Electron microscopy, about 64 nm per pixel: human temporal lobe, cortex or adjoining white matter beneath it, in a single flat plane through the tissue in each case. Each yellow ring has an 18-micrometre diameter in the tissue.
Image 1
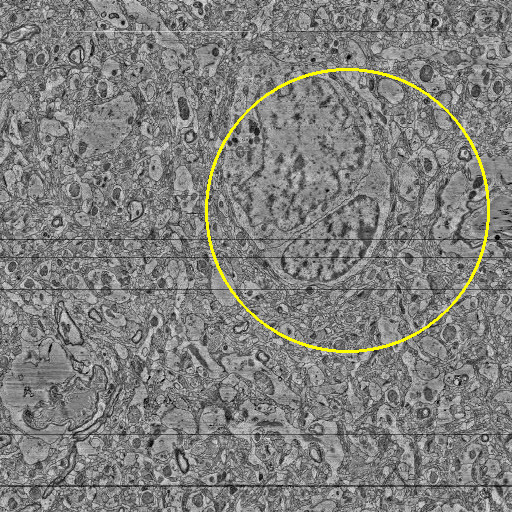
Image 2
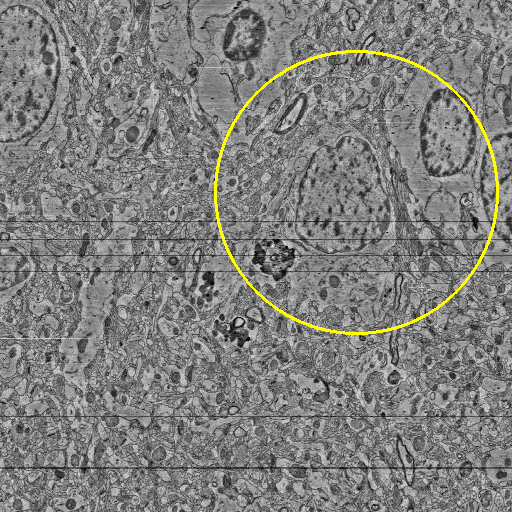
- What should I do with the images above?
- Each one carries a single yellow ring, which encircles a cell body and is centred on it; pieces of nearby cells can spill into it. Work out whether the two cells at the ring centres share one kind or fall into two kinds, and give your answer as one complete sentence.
The ring-centre cells of Image 1 and Image 2 share one kind.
